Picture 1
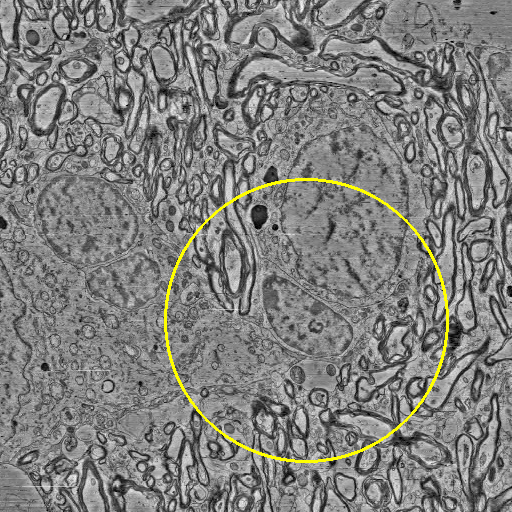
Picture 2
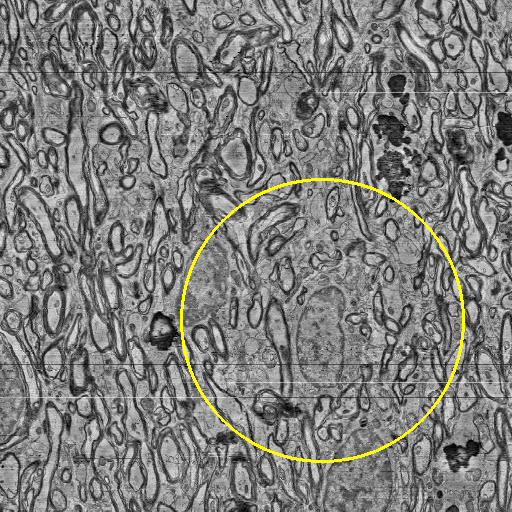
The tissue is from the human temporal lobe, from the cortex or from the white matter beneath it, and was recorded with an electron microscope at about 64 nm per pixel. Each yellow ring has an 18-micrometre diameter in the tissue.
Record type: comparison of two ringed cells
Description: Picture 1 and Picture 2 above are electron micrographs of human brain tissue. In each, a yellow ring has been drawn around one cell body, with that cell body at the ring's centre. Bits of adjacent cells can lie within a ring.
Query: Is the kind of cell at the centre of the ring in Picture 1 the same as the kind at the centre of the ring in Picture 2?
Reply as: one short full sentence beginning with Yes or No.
No, the two ringed cells are of two separate kinds.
